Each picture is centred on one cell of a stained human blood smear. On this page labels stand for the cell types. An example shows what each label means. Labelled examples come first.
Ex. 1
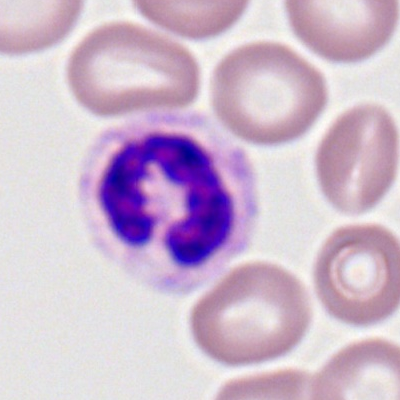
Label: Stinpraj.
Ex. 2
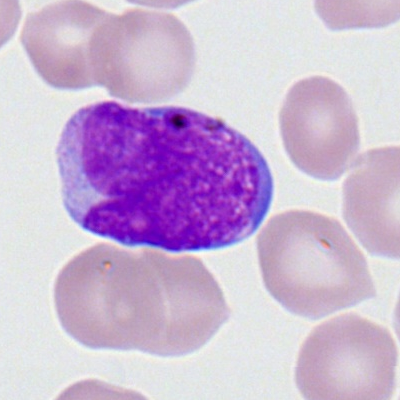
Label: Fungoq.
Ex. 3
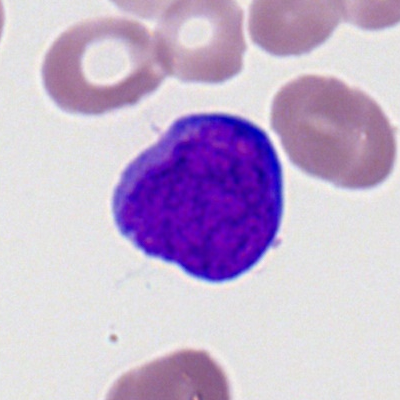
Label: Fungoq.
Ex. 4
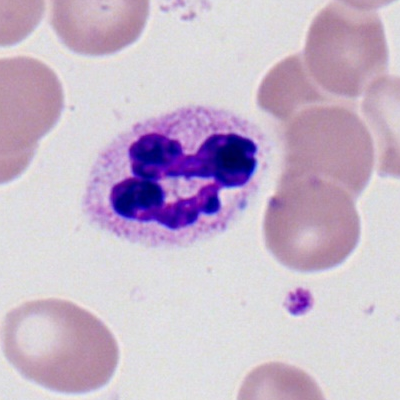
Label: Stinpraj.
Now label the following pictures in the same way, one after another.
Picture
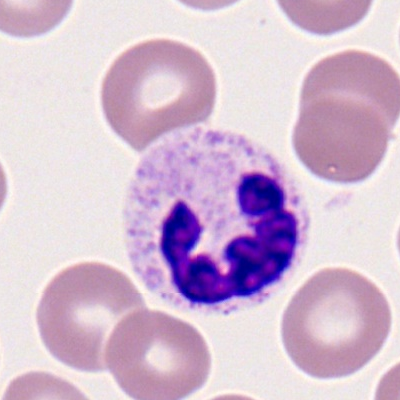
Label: Stinpraj.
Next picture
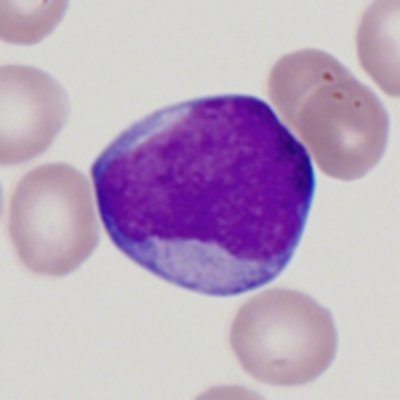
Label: Fungoq.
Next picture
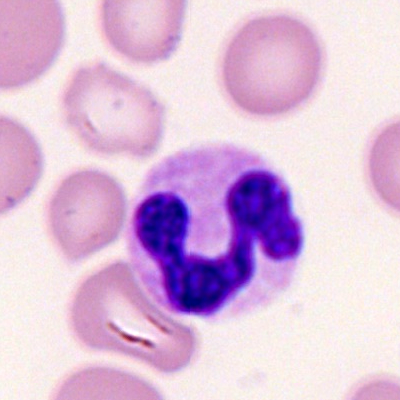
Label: Stinpraj.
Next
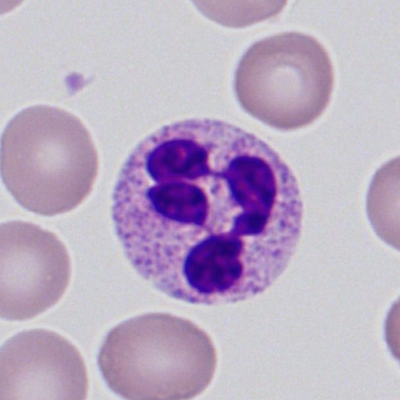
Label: Stinpraj.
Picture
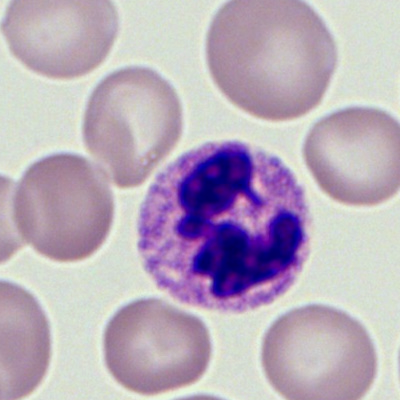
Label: Stinpraj.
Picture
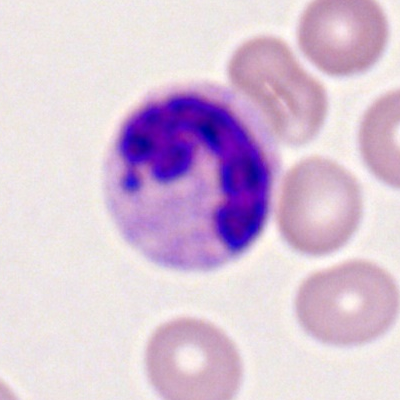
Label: Stinpraj.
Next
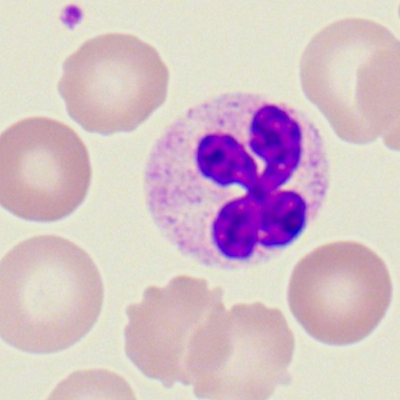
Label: Stinpraj.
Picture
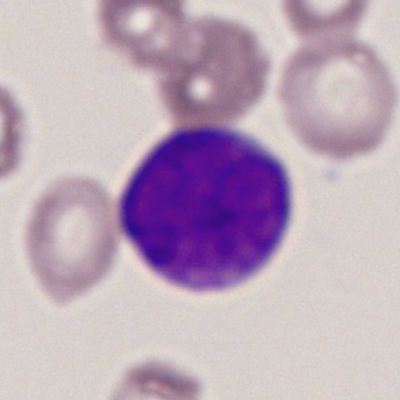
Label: Fungoq.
